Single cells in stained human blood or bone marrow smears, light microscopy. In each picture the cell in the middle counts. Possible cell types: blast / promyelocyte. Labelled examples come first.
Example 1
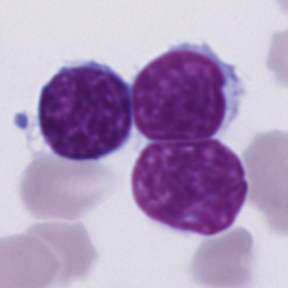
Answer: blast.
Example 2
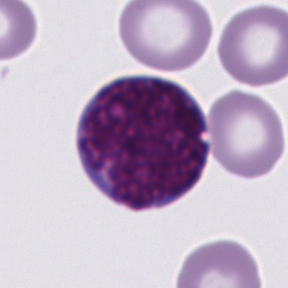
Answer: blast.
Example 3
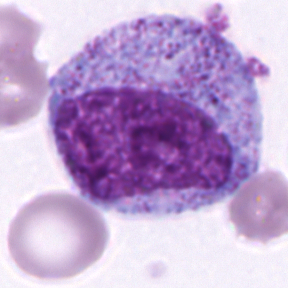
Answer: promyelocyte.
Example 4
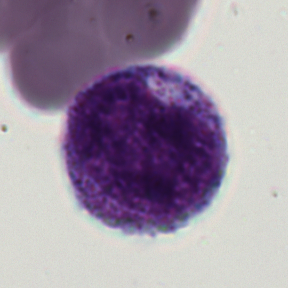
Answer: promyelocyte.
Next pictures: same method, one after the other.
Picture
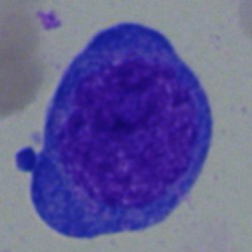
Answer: blast.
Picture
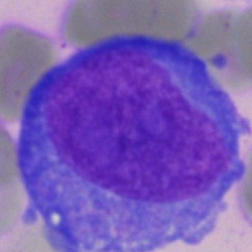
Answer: blast.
